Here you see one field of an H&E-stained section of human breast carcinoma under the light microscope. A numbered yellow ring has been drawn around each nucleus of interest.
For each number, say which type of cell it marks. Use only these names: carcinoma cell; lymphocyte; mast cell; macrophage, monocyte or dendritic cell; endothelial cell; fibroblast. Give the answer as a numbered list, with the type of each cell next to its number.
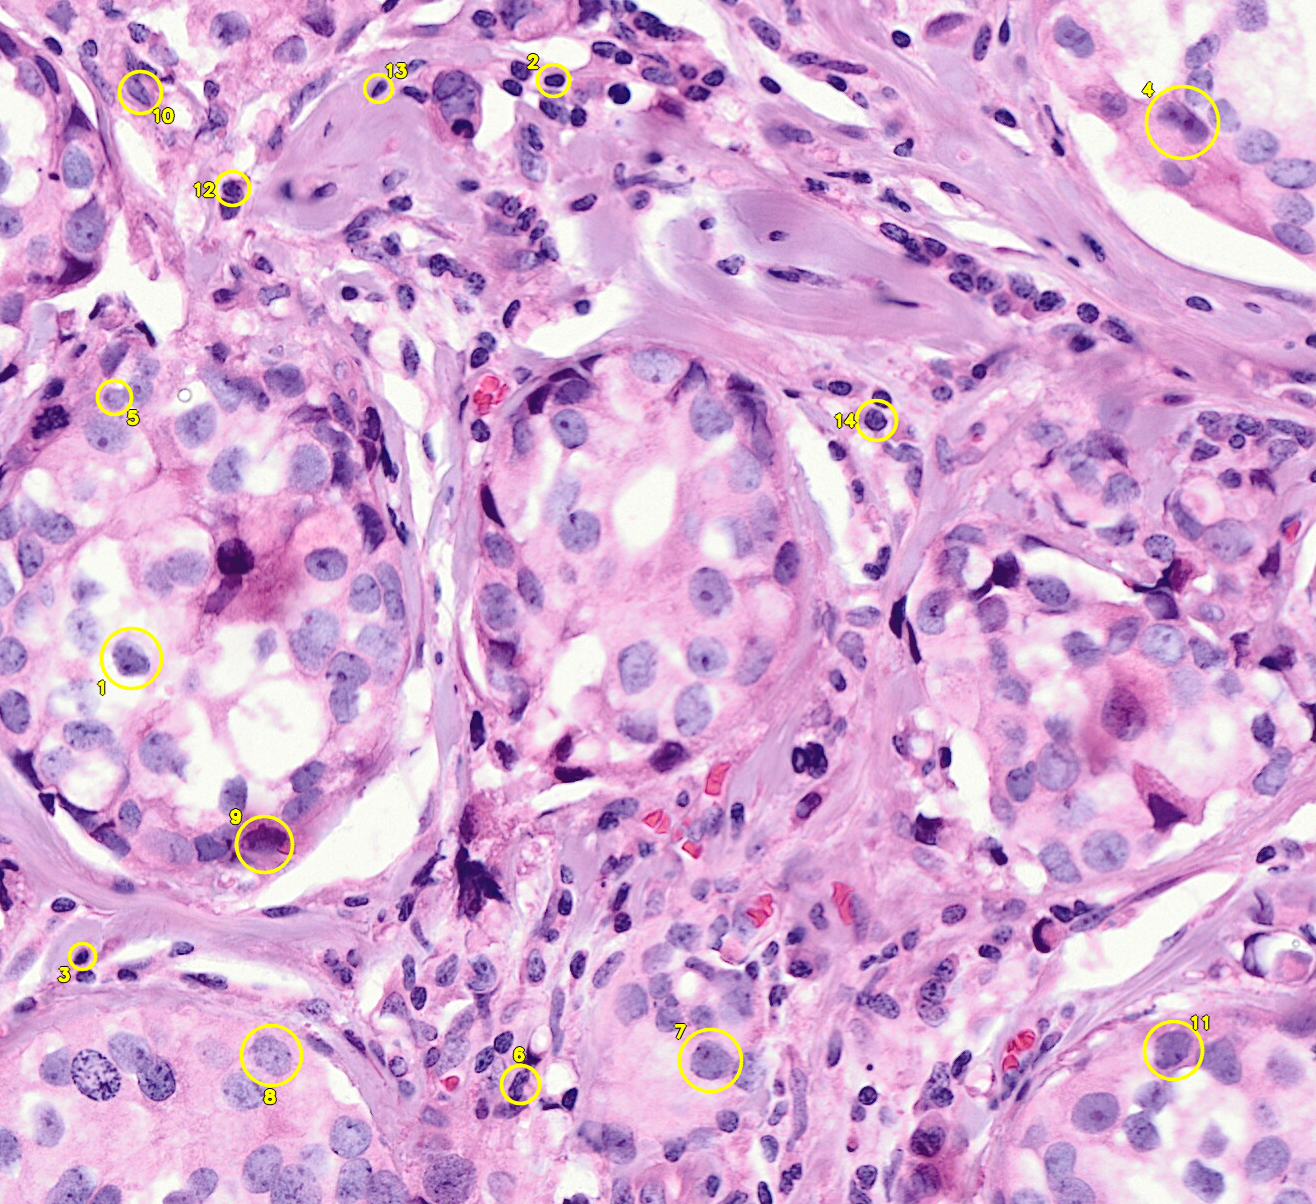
1. carcinoma cell
2. lymphocyte
3. mast cell
4. carcinoma cell
5. carcinoma cell
6. lymphocyte
7. carcinoma cell
8. carcinoma cell
9. carcinoma cell
10. endothelial cell
11. carcinoma cell
12. lymphocyte
13. lymphocyte
14. lymphocyte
